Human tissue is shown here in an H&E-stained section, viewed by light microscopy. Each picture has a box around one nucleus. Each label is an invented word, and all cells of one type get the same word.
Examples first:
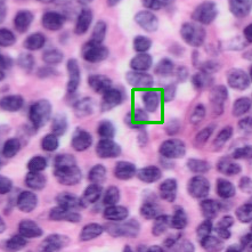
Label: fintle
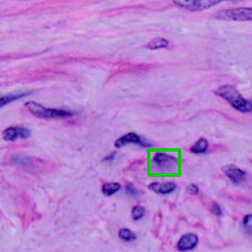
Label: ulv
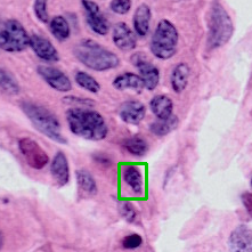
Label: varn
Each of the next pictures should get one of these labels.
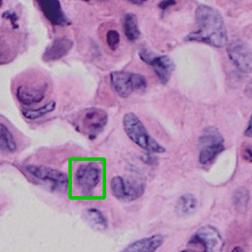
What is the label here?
varn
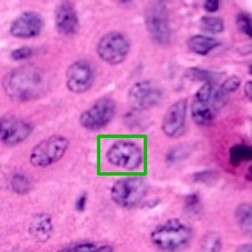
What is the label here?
varn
